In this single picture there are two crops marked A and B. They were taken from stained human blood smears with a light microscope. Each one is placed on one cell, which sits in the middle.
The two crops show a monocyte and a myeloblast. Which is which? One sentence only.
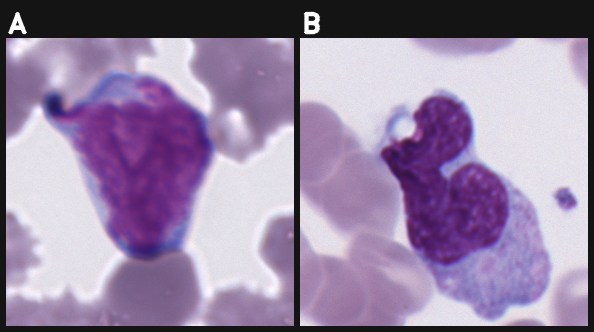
Placed in the middle of crop A is a myeloblast, and in the middle of crop B, a monocyte.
